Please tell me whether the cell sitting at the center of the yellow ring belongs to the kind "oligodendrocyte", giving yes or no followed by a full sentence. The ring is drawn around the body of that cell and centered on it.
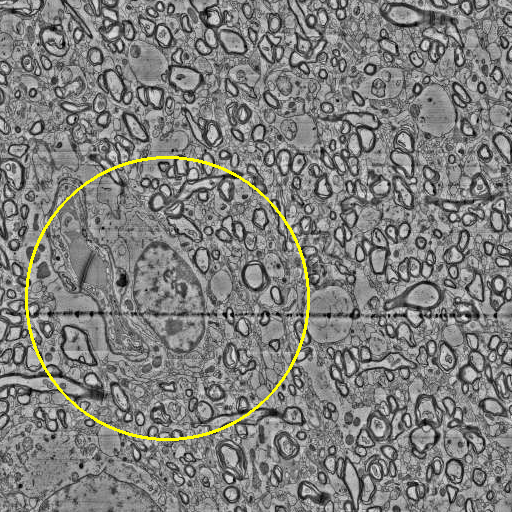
No, the cell at the center of the ring in the picture is of another kind.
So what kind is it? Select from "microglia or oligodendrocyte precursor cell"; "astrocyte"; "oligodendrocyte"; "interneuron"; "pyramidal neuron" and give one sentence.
What the ring is centred on is a microglial cell or oligodendrocyte precursor cell.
